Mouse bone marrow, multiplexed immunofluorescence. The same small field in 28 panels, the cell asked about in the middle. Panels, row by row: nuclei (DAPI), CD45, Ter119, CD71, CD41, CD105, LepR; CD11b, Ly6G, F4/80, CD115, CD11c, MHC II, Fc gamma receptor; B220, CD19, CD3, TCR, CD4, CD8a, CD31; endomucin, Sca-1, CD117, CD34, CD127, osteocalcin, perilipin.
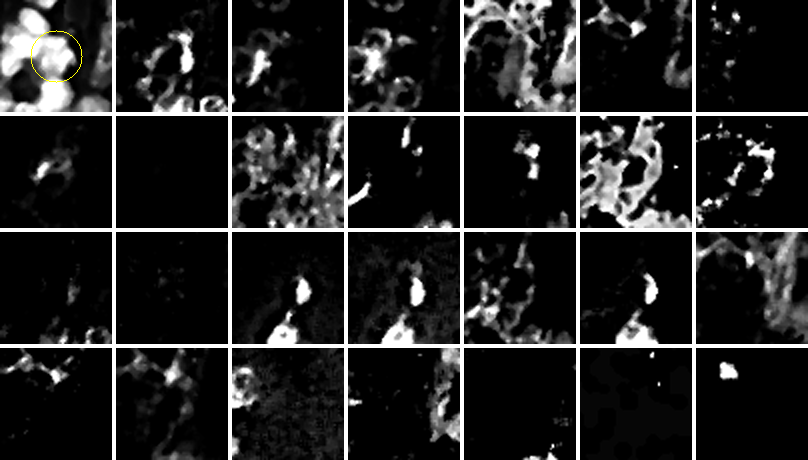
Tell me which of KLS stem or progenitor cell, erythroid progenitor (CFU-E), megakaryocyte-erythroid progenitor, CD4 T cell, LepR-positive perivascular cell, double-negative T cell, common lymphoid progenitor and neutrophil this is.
The picture shows a double-negative T cell.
